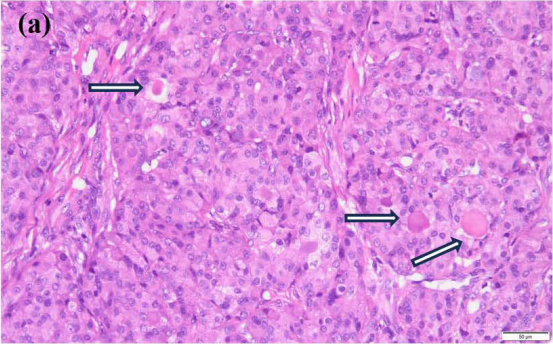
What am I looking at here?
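Tumor tissue is divided into lobules and nests by thin pink fibrous septa containing elongated nuclei. The tumor cells have round to oval nuclei and abundant pink, finely granular cytoplasm, some with small clear vacuoles. Scattered among the cells are round, homogeneous, glassy pink globules, larger than a nucleus.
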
